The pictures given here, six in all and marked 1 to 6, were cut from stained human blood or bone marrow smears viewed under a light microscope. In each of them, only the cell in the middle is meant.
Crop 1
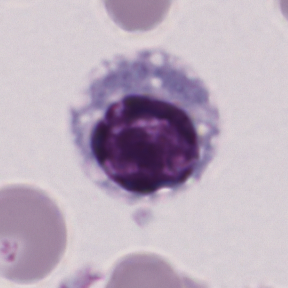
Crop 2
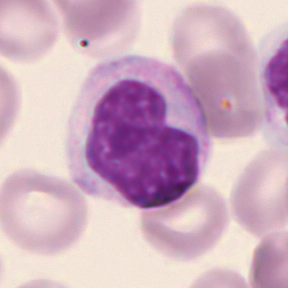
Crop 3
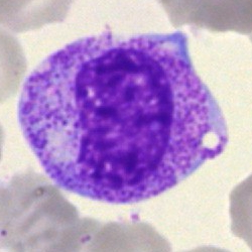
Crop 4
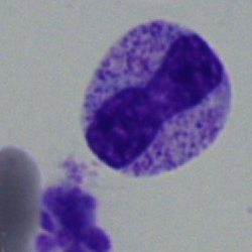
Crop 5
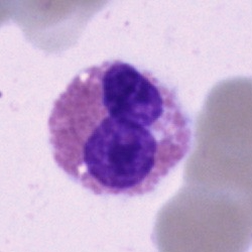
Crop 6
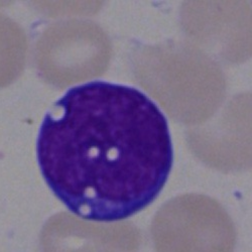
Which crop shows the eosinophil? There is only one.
5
